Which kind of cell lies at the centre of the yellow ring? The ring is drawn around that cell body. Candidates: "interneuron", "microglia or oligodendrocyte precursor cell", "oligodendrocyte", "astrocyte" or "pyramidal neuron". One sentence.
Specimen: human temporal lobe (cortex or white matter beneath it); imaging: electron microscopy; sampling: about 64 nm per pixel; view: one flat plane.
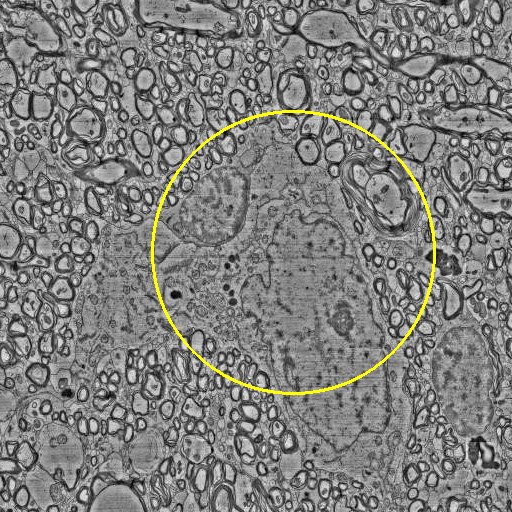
Lying at the centre of the ring is an interneuron.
